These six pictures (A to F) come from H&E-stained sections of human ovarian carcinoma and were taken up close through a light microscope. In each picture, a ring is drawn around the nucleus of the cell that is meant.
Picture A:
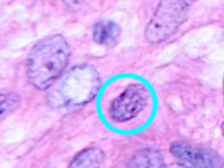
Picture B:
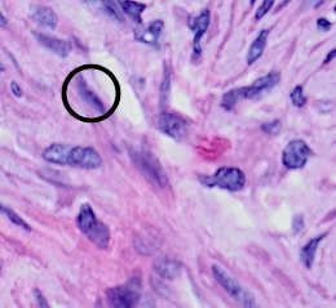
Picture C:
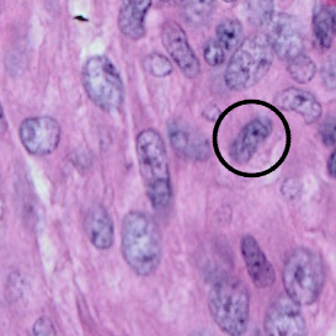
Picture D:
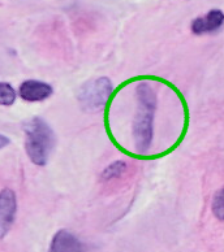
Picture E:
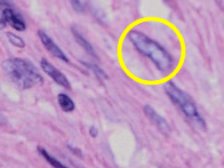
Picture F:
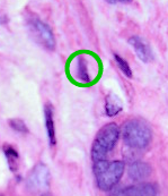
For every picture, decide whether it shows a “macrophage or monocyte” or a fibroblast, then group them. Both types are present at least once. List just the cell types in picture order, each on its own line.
macrophage or monocyte
fibroblast
macrophage or monocyte
fibroblast
fibroblast
fibroblast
